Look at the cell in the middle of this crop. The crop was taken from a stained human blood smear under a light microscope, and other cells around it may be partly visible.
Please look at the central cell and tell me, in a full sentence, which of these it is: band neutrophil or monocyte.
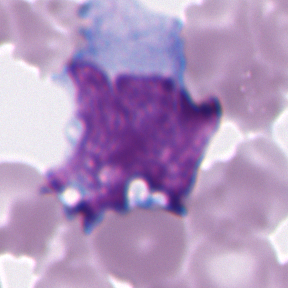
Occupying the centre of the crop is a monocyte.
